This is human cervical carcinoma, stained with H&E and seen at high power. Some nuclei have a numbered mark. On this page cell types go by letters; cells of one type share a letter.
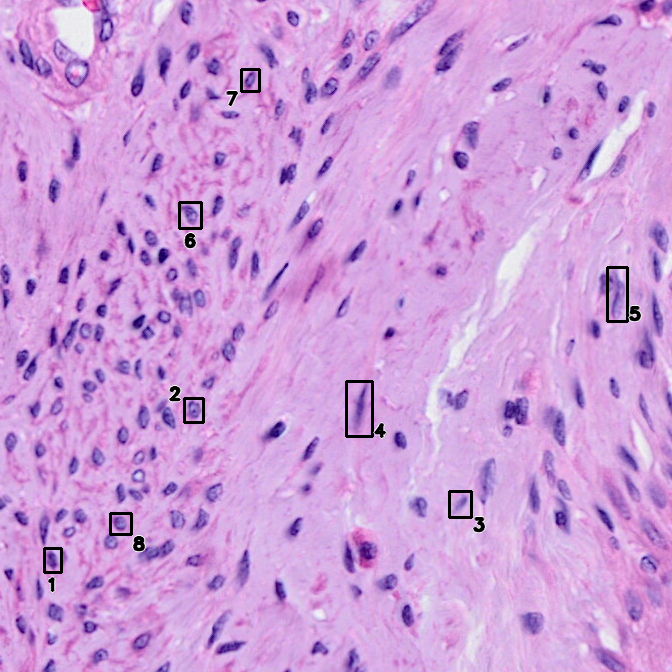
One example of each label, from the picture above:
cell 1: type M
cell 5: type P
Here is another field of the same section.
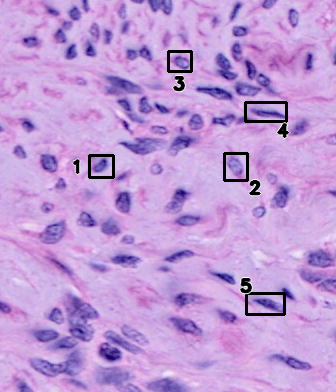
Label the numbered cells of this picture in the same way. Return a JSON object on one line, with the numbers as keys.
{"1": "type M", "2": "type M", "3": "type M", "4": "type P", "5": "type P"}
